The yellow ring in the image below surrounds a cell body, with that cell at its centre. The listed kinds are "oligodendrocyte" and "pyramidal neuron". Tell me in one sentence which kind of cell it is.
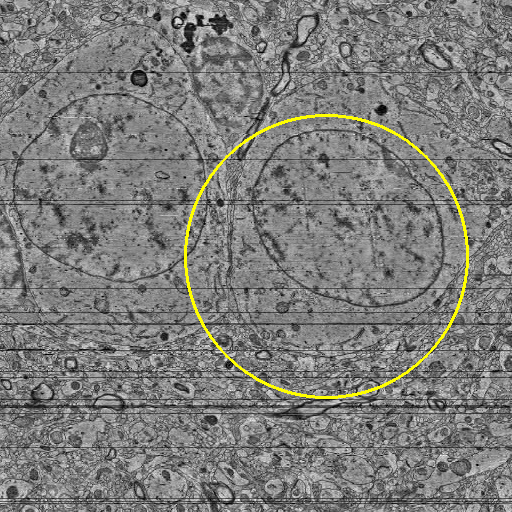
The centre of the ring holds a pyramidal neuron.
